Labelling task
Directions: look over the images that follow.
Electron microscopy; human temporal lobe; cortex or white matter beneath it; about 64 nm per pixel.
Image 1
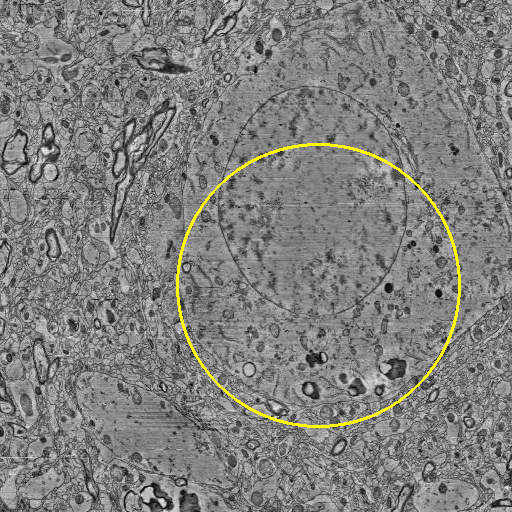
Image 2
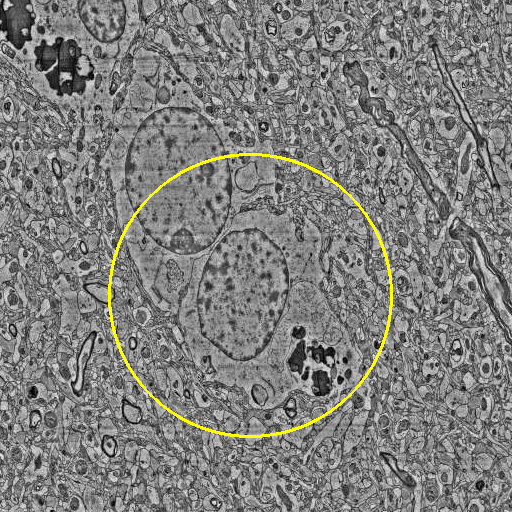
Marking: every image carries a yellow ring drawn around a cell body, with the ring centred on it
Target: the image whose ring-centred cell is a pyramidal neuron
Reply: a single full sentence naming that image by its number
The requested cell sits at the ring's centre in Image 1.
